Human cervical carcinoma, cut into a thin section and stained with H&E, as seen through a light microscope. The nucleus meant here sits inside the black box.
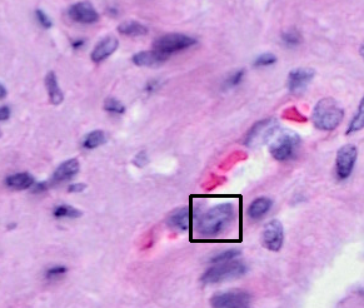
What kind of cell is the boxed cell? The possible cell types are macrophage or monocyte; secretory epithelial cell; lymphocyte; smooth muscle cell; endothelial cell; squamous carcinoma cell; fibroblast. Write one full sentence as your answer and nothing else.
In this section of tissue, the boxed cell is an endothelial cell.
